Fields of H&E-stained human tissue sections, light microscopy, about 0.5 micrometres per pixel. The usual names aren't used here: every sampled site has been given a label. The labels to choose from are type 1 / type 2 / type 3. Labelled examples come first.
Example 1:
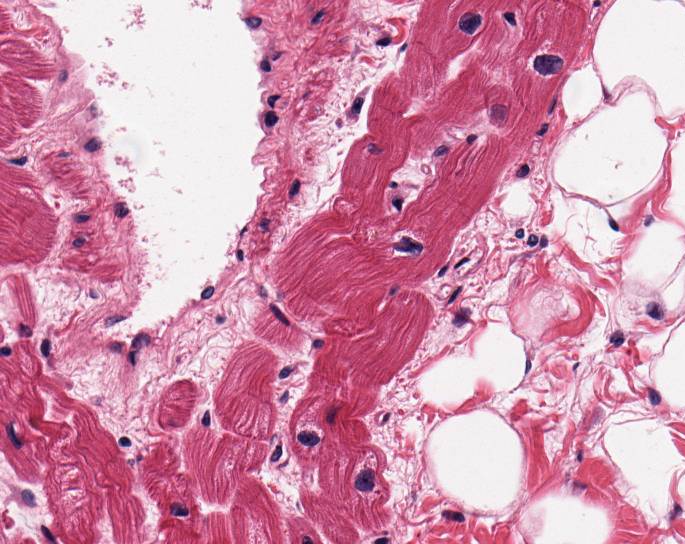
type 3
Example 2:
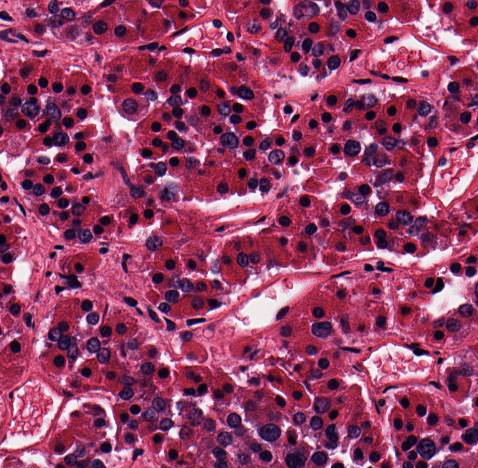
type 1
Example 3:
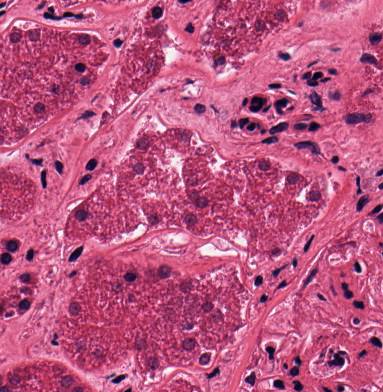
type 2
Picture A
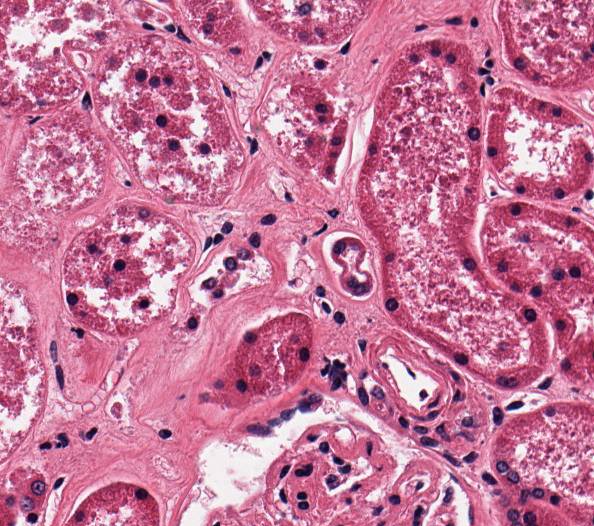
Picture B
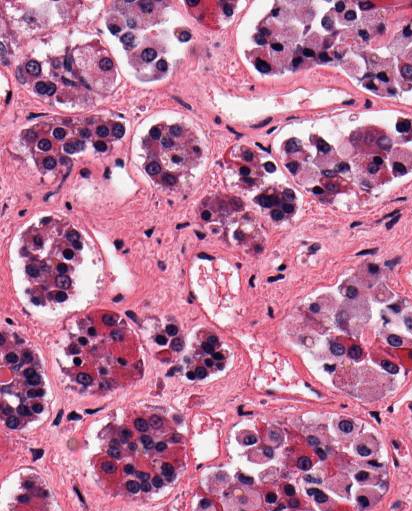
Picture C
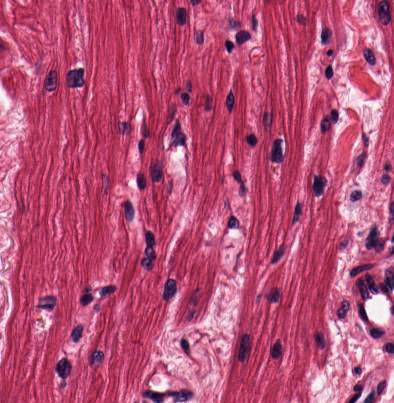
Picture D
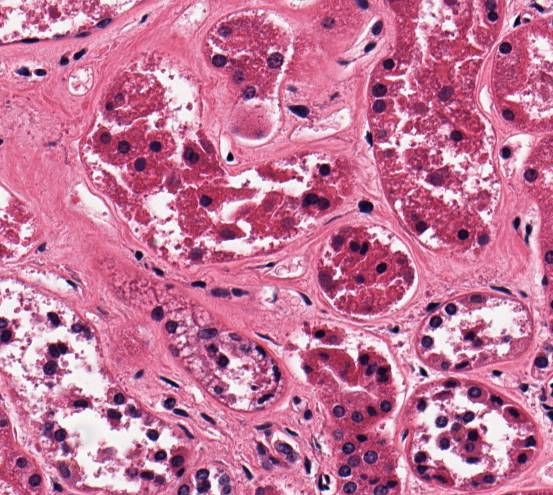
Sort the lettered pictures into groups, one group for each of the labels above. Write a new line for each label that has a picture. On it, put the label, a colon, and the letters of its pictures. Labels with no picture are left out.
type 1: B
type 2: A, D
type 3: C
